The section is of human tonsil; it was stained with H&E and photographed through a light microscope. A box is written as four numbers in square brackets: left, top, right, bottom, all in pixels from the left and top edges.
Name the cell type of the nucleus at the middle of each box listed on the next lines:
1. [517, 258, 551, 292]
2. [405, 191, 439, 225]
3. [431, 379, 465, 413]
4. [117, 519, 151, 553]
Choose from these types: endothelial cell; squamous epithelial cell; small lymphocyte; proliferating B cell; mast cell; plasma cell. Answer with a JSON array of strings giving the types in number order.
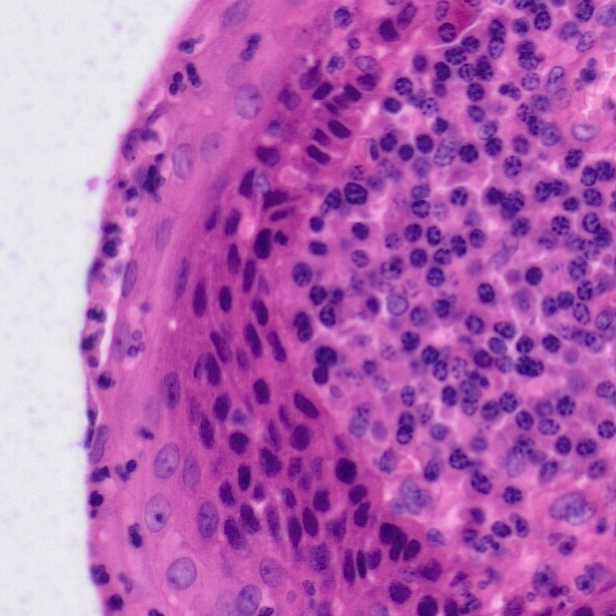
["plasma cell", "plasma cell", "plasma cell", "squamous epithelial cell"]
